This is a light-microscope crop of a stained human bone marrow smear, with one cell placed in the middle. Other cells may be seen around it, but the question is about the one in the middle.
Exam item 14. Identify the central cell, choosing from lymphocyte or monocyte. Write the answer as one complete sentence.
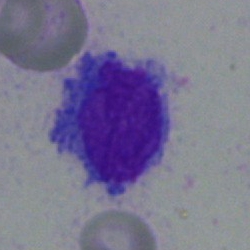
By type, the central cell of the crop is a lymphocyte.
